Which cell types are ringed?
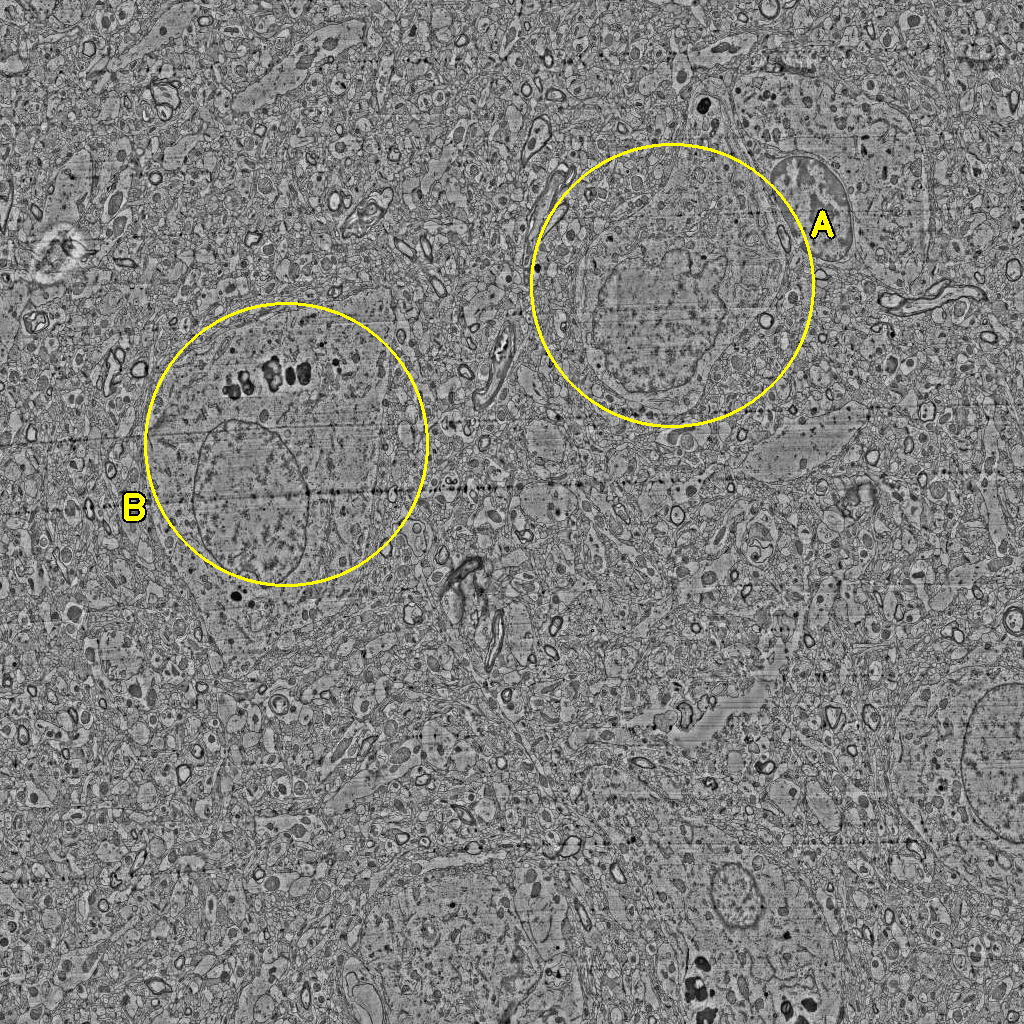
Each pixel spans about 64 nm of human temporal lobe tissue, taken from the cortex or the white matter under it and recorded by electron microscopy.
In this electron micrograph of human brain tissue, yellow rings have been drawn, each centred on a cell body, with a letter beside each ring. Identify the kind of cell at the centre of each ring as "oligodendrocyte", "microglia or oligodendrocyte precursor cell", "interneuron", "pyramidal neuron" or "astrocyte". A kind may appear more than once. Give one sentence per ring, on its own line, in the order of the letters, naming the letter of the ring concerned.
Ring A is drawn on an interneuron.
Ring B is drawn on a pyramidal neuron.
